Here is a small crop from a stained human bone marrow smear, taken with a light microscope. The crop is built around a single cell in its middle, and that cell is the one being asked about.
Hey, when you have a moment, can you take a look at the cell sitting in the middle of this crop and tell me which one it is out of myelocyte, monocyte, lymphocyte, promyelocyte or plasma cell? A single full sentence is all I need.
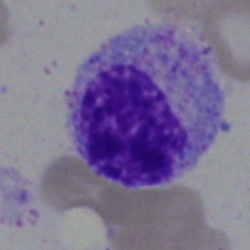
The middle cell in this particular crop is a myelocyte.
